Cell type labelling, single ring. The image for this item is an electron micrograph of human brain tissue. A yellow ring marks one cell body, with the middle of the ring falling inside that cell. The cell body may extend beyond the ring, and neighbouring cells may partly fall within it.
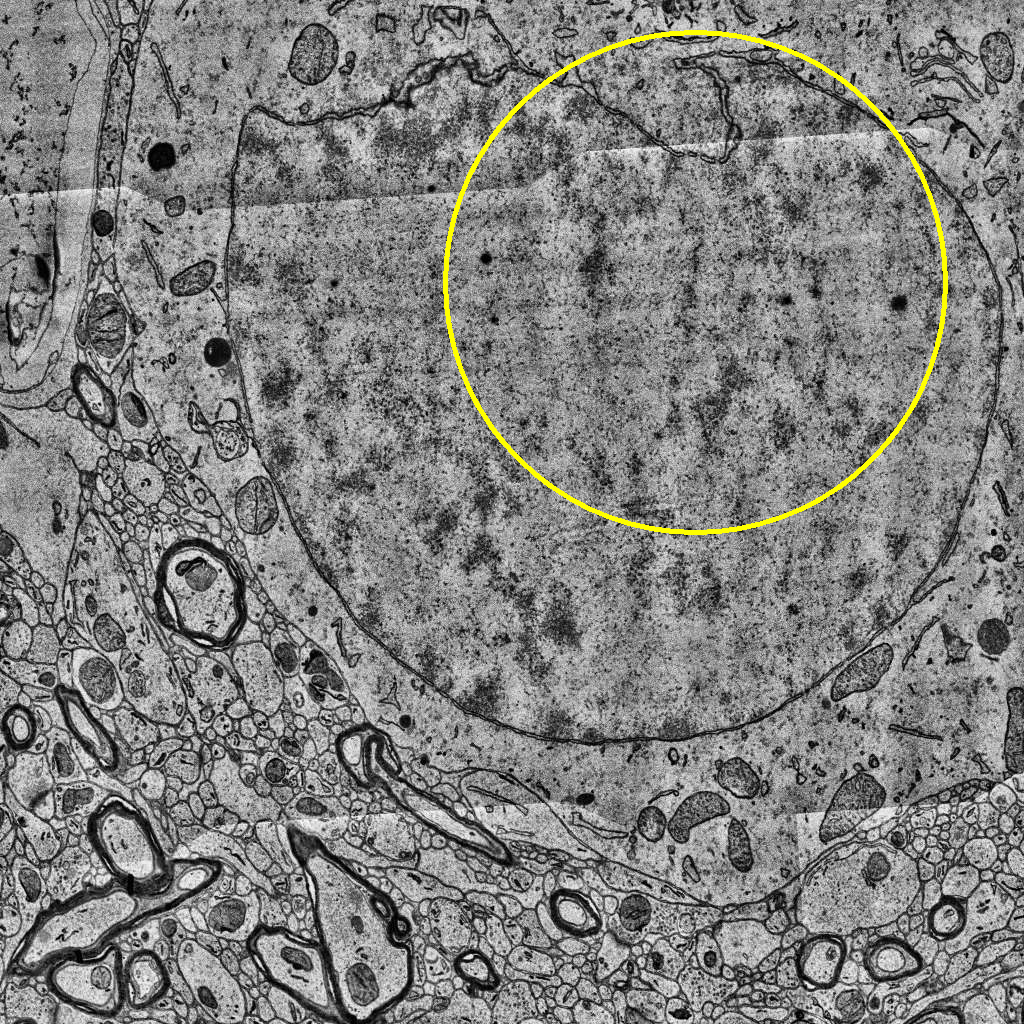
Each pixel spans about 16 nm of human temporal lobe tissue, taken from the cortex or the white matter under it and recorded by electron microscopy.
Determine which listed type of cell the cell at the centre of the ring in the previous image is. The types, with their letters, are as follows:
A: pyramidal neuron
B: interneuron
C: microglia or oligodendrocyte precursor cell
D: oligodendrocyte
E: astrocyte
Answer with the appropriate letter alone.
A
